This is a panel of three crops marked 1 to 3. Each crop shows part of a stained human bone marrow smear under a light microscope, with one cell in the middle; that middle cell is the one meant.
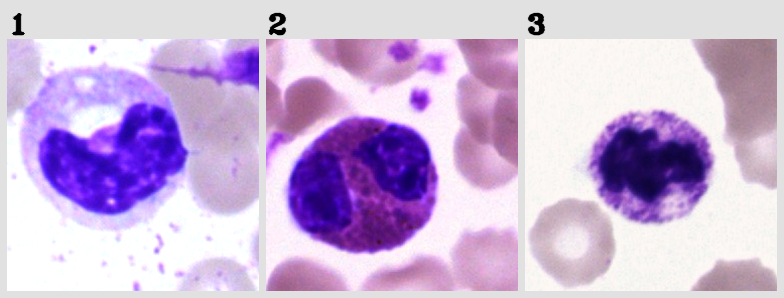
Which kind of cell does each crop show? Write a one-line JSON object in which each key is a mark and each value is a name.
{"1": "band neutrophil", "2": "eosinophil", "3": "segmented neutrophil"}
